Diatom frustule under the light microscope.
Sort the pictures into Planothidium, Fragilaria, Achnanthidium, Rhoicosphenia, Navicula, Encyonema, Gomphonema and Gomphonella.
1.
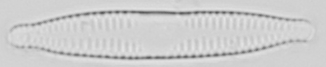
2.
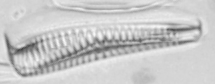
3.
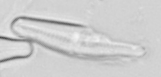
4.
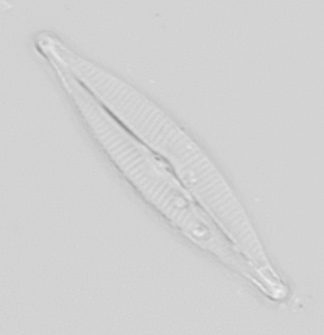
Fragilaria: 1
Rhoicosphenia: 2
Achnanthidium: 3
Navicula: 4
